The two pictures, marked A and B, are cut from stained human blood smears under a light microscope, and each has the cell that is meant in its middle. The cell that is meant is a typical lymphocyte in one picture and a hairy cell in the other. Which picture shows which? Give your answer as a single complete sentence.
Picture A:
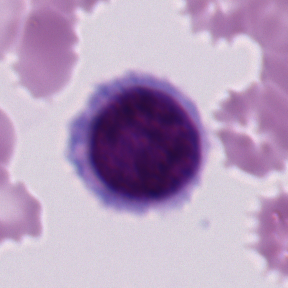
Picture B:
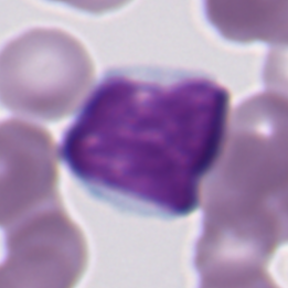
Picture A is of a hairy cell, and picture B is of a typical lymphocyte.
